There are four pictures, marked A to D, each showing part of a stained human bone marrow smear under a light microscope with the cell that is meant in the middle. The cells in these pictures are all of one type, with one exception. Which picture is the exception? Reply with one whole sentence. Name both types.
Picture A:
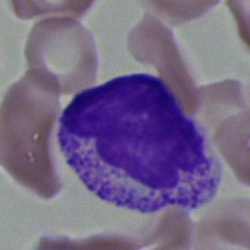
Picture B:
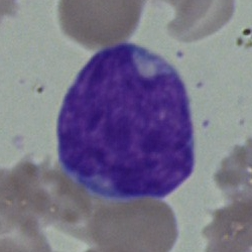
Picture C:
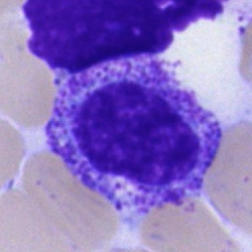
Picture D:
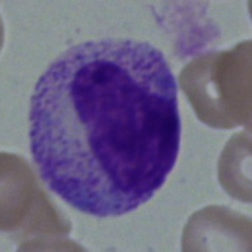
Picture B differs, because its cell is a blast and the rest are myelocytes.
